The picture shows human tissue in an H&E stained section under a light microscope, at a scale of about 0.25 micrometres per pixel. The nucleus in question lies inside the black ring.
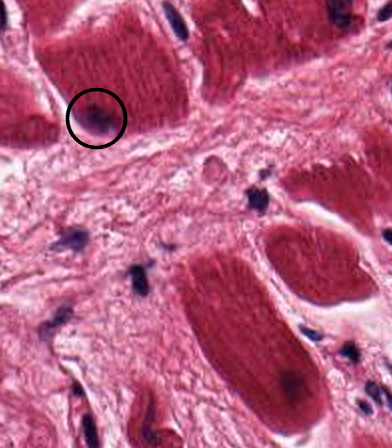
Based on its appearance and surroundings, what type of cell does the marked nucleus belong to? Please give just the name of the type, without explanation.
cardiomyocyte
